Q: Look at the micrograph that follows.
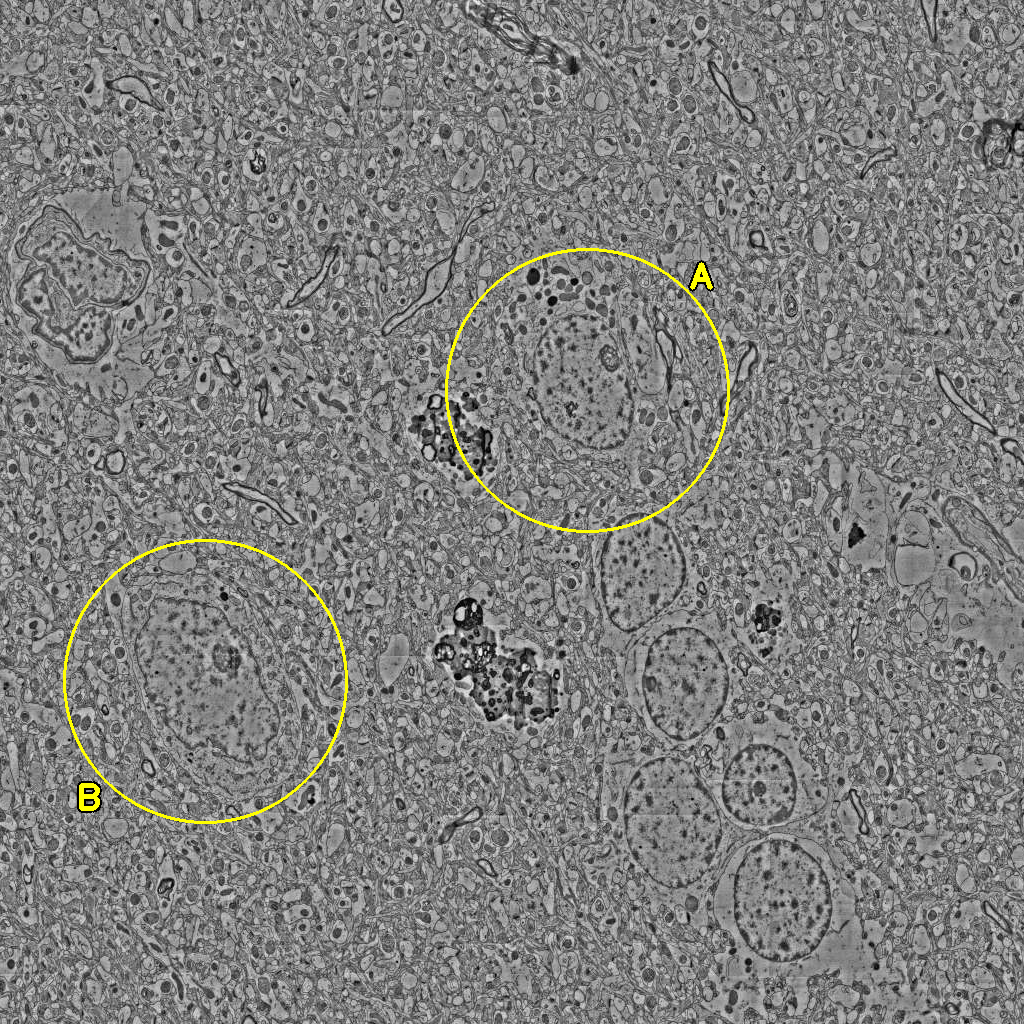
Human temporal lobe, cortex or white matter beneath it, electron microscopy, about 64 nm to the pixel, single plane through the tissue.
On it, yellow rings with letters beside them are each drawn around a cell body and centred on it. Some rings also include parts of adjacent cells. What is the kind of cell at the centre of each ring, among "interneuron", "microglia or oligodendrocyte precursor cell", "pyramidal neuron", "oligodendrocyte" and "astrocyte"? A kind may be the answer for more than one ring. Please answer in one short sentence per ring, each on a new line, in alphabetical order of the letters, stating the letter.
Ring A surrounds the cell body of an astrocyte.
Ring B surrounds the cell body of an interneuron.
